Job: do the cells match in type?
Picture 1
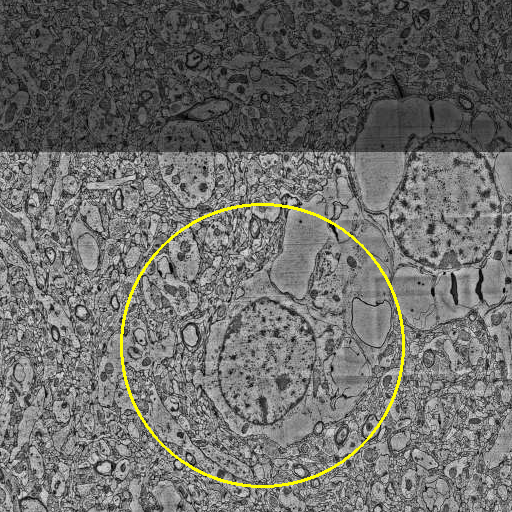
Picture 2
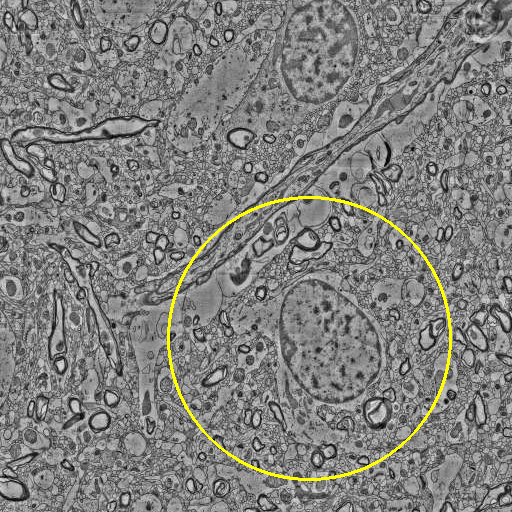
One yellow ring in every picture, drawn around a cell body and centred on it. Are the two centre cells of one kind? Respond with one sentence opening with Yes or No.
No, the ringed cells in the two pictures are of two separate kinds.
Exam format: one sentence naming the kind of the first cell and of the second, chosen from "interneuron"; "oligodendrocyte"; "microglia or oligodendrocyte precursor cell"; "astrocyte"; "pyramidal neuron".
The first picture's cell is an astrocyte, and the second picture's cell is a microglial cell or oligodendrocyte precursor cell.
